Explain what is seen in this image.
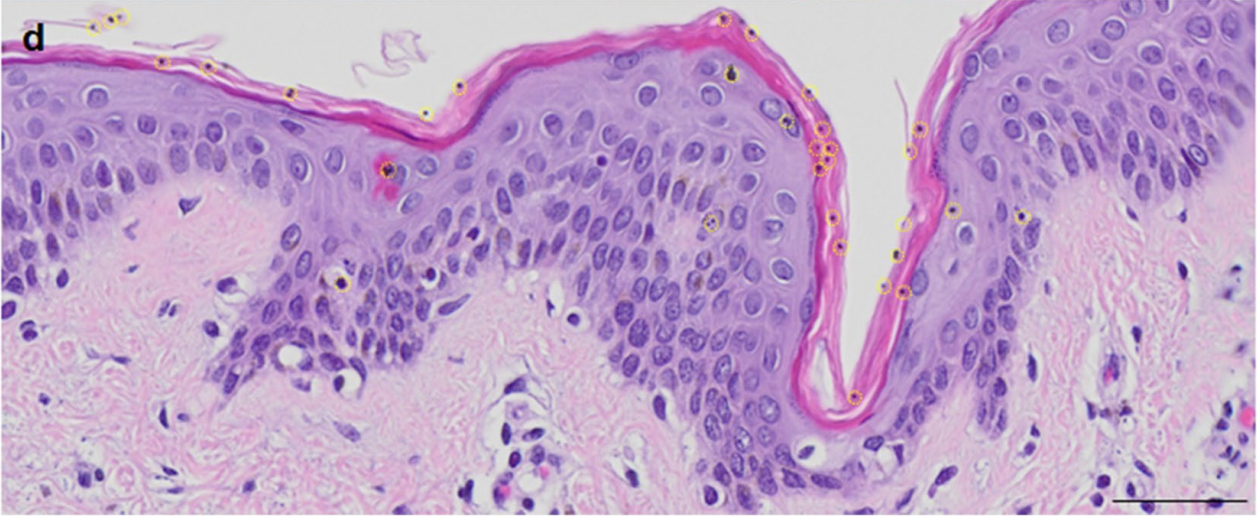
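This section of skin shows the epidermis, a stratified epithelium of closely packed cells, resting on the pale pink fibrous dermis. The deepest cells of the epidermis are crowded, with small, dark purple oval nuclei, while the cells higher up are larger and have round to oval nuclei surrounded by pale purple cytoplasm, many of them with a clear halo. The surface is covered by a bright pink, compact layer that dips deeply down into a narrow fold of the epithelium. The epidermis forms downward ridges into the dermis, whose loose pink collagen fibres hold scattered elongated nuclei and small vessels. Tiny dark dots ringed in yellow are scattered mostly along the pink surface layer and within the epithelium.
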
